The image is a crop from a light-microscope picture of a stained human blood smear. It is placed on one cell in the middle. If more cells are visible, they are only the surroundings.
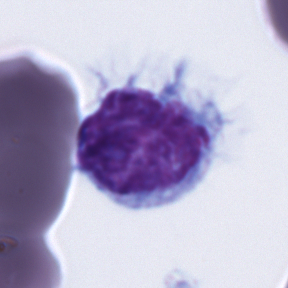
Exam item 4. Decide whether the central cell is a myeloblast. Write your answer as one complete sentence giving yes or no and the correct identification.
No, the cell in the middle is a hairy cell, not a myeloblast.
